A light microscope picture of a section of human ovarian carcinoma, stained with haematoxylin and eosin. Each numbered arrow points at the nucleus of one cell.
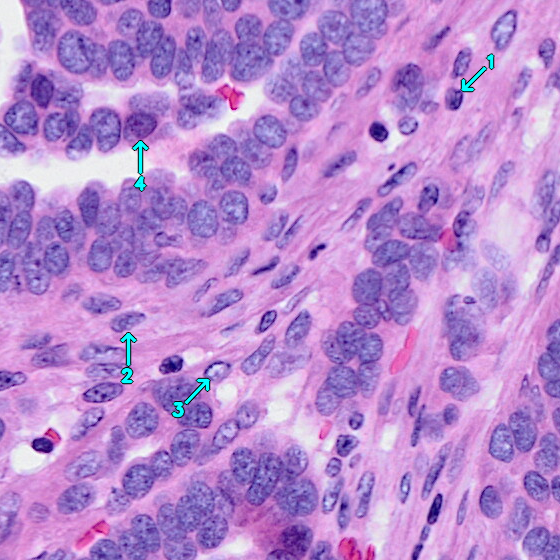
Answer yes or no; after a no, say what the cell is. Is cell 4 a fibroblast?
No, it is a carcinoma cell.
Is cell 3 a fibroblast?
Yes.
